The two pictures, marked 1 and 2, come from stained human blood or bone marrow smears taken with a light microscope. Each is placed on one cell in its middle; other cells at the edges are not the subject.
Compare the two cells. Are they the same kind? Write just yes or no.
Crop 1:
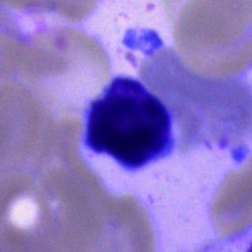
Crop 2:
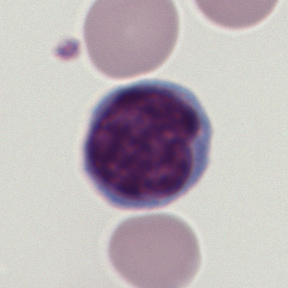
yes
